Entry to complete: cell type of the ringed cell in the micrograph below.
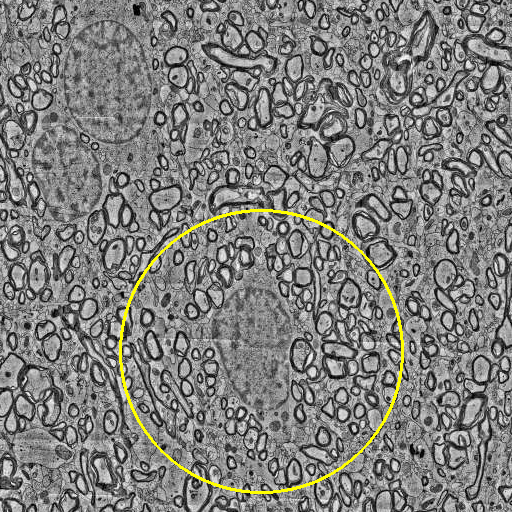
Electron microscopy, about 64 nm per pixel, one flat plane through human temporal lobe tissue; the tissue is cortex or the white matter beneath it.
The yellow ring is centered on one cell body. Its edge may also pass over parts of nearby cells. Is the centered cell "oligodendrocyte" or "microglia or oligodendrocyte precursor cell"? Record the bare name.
oligodendrocyte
